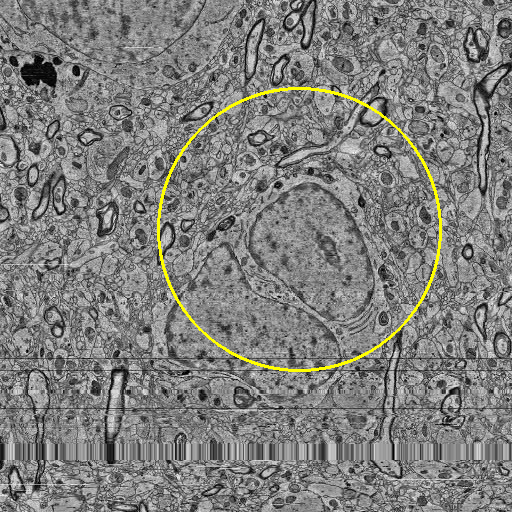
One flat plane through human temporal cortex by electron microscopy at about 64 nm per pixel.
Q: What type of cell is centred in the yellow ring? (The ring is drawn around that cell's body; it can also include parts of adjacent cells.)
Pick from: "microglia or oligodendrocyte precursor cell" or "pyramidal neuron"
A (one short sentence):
The yellow ring is centred on a microglial cell or oligodendrocyte precursor cell.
